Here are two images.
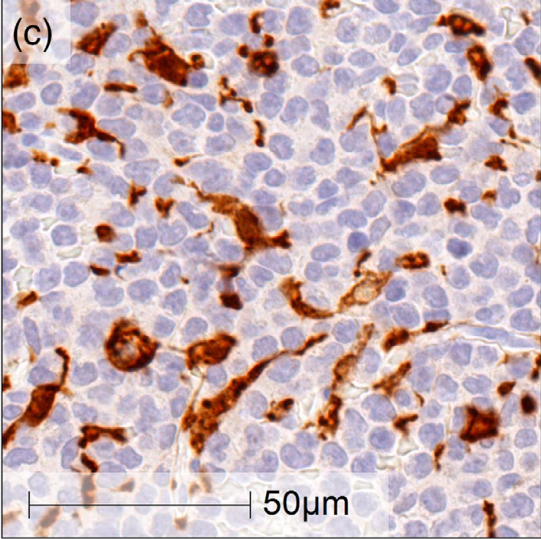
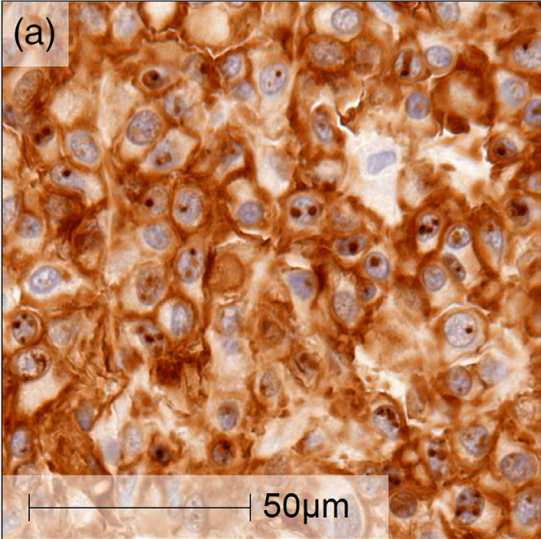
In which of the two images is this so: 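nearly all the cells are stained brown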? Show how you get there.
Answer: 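The second image. First image: only scattered irregular cells are brown among many unstained round cells. Second image: brown stain fills the cytoplasm and outlines of almost every cell.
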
